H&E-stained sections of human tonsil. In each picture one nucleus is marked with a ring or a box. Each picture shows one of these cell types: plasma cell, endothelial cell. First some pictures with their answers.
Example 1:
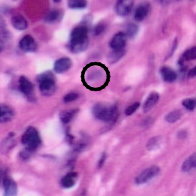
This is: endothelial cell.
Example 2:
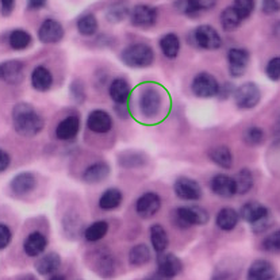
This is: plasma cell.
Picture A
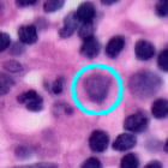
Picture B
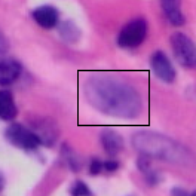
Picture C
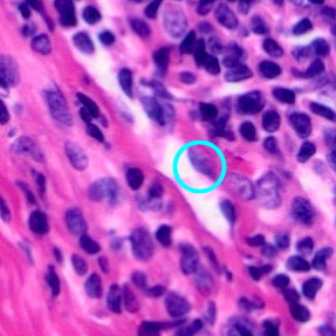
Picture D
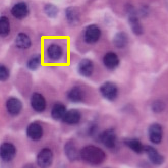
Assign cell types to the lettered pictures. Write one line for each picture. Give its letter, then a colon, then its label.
A: endothelial cell.
B: endothelial cell.
C: endothelial cell.
D: plasma cell.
